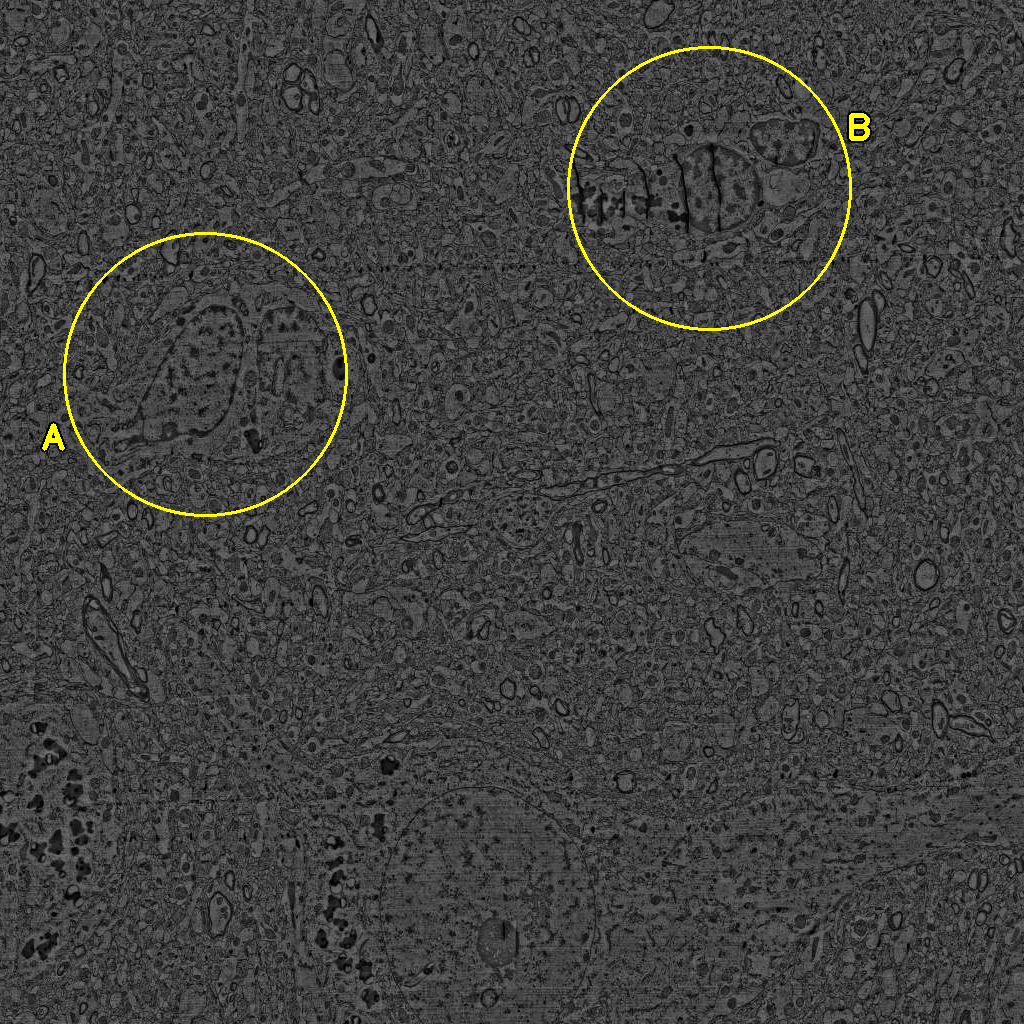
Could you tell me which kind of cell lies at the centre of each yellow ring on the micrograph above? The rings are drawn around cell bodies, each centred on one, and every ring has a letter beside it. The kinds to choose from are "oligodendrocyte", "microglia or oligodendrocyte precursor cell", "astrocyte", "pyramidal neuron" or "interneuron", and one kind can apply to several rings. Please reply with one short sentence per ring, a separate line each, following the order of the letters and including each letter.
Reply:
Ring A circles a microglial cell or oligodendrocyte precursor cell.
Ring B circles an oligodendrocyte.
